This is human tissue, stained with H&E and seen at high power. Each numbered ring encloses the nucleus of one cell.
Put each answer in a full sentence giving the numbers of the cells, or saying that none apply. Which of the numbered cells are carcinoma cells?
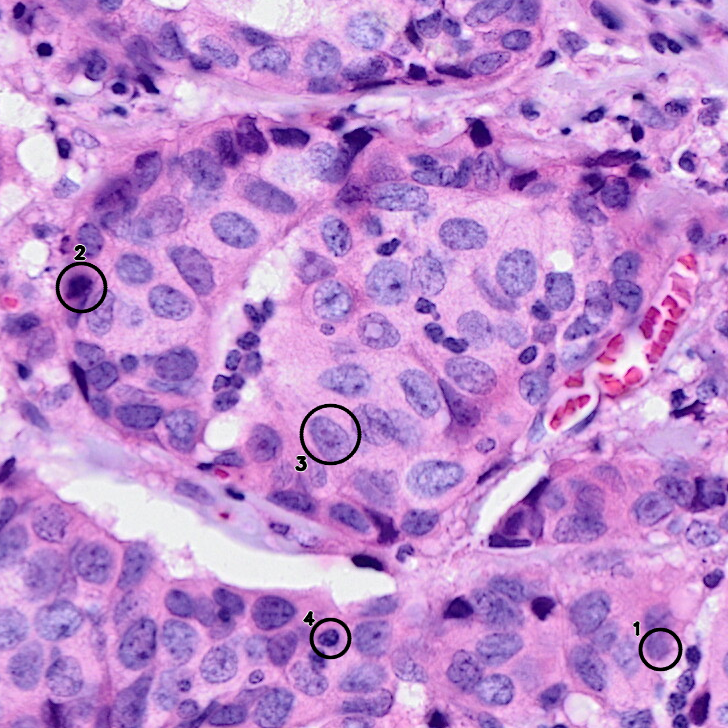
The cells marked by the numbers 1, 2 and 3 are carcinoma cells.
